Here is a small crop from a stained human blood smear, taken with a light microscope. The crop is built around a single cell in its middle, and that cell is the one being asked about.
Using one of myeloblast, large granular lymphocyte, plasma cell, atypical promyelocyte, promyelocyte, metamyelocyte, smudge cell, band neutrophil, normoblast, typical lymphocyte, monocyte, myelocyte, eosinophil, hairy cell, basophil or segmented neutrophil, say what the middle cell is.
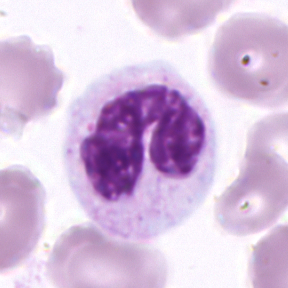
band neutrophil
